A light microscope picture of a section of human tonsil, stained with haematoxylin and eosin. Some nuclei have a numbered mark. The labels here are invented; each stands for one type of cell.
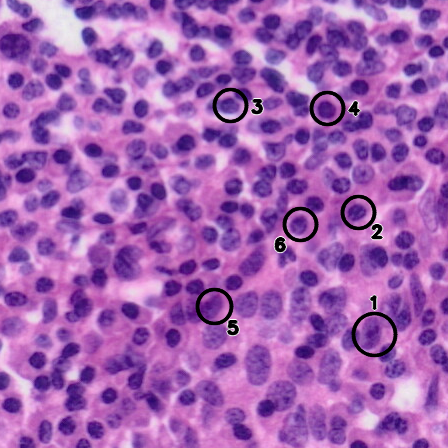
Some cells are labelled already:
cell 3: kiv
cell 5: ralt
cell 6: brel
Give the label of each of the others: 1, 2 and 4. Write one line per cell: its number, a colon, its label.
1: ralt
2: brel
4: brel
